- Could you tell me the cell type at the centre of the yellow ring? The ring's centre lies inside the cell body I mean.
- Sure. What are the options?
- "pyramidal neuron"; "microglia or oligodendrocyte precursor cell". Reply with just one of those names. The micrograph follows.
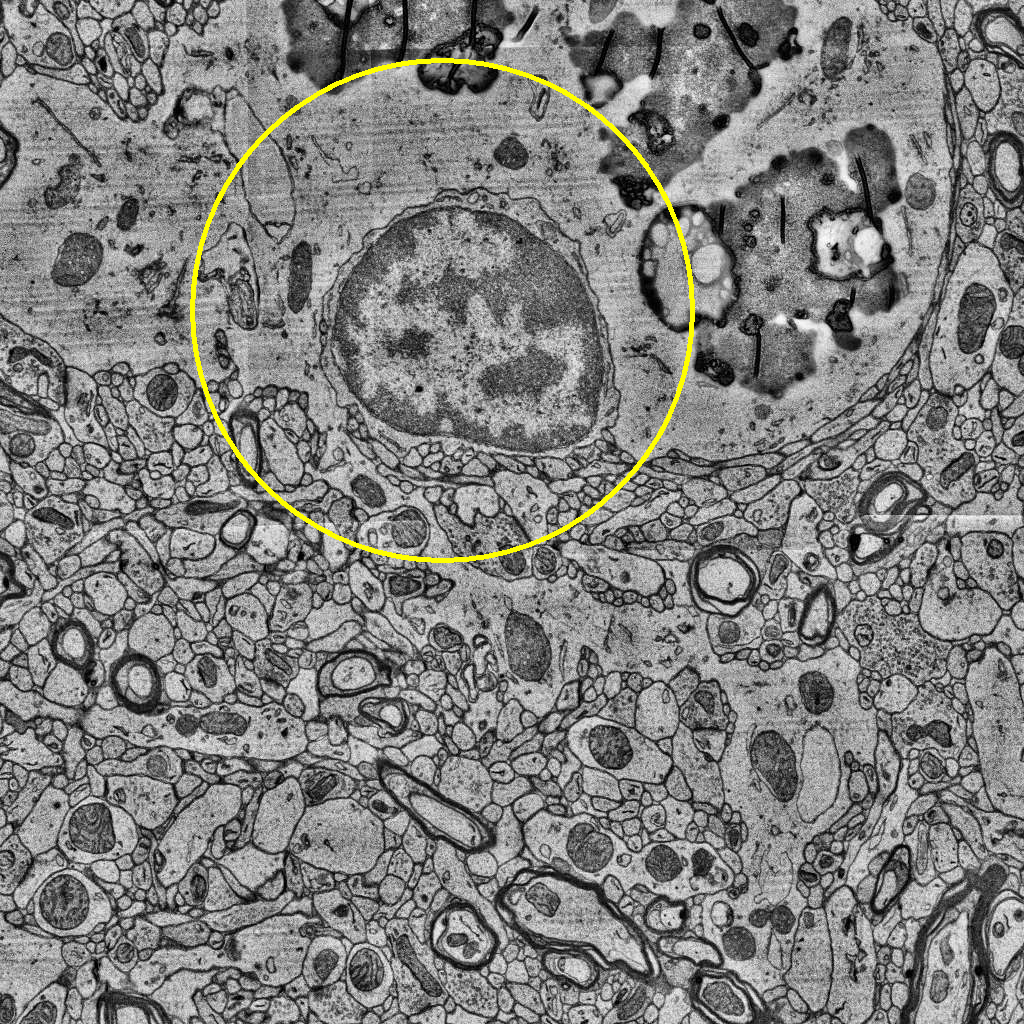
microglia or oligodendrocyte precursor cell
